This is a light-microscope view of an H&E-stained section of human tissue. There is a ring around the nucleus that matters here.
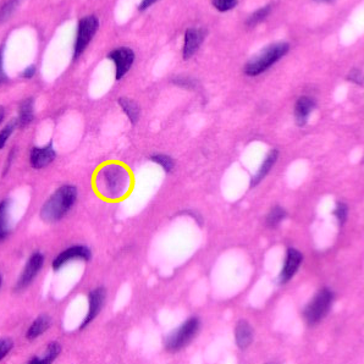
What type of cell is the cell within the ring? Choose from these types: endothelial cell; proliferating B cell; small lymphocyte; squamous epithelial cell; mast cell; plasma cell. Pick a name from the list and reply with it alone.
squamous epithelial cell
